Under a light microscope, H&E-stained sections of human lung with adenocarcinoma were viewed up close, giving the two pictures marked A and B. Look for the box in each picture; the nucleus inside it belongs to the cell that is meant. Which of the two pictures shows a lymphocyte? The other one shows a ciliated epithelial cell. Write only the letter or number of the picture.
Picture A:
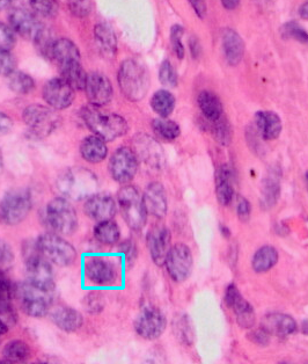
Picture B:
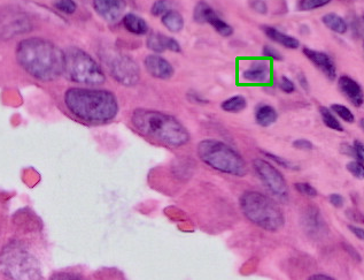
B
